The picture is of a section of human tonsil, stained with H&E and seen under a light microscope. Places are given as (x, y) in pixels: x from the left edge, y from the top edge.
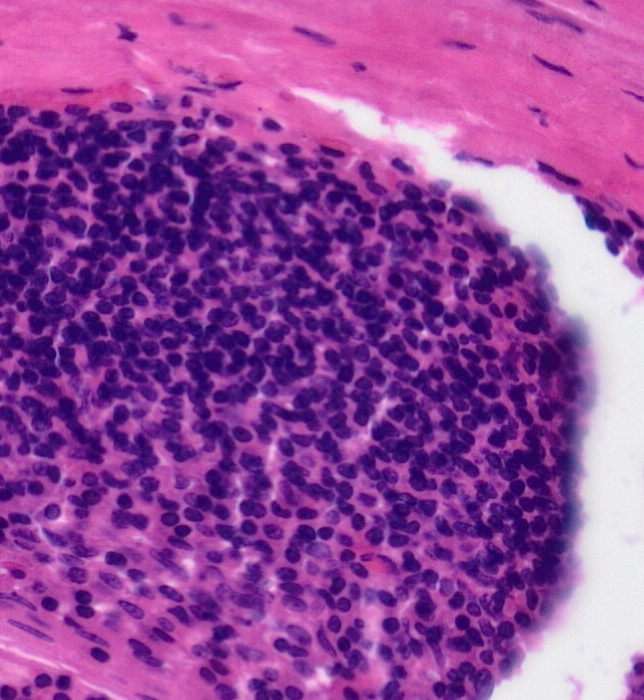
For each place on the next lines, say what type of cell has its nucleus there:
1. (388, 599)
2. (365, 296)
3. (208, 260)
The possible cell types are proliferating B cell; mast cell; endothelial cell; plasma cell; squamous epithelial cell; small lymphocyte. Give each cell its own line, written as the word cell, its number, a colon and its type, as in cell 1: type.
cell 1: plasma cell
cell 2: small lymphocyte
cell 3: small lymphocyte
